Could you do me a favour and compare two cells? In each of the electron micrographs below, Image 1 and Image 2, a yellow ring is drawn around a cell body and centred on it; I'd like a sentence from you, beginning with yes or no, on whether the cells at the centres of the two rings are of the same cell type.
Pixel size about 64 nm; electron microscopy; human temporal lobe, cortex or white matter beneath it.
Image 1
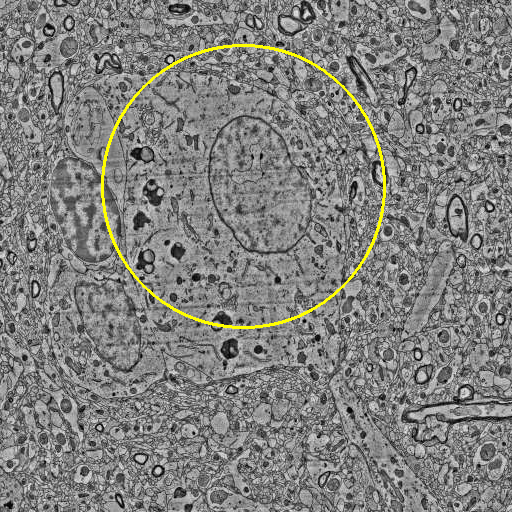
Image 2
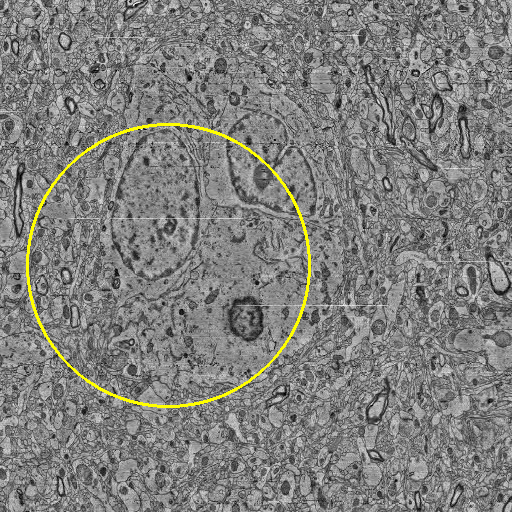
No, the two cells are of two cell types.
